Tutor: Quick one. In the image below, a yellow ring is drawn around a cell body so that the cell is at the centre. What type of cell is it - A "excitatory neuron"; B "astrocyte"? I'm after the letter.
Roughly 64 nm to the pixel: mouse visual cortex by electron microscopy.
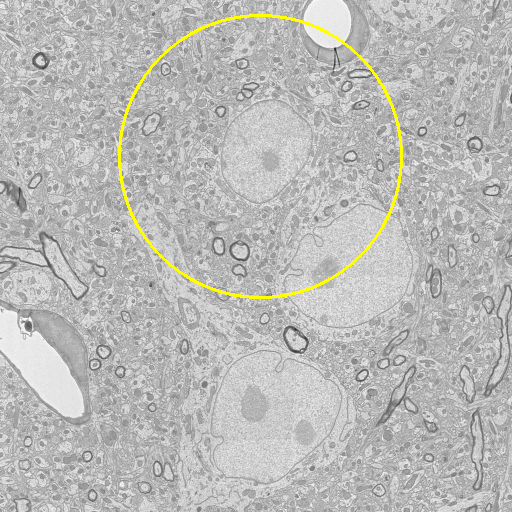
B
